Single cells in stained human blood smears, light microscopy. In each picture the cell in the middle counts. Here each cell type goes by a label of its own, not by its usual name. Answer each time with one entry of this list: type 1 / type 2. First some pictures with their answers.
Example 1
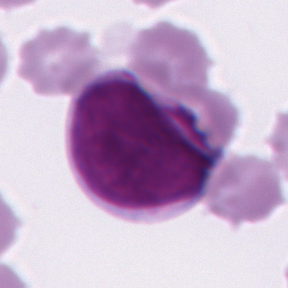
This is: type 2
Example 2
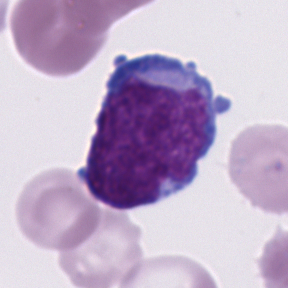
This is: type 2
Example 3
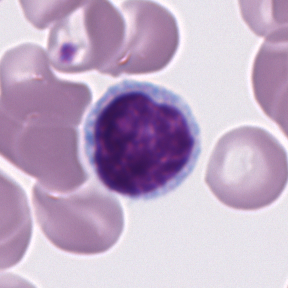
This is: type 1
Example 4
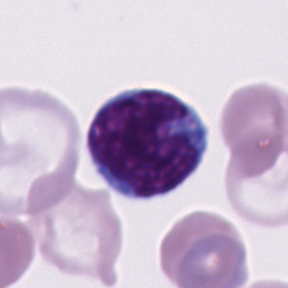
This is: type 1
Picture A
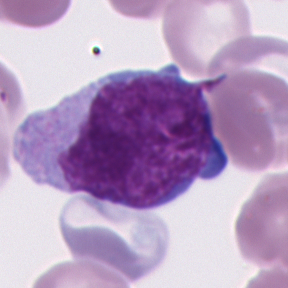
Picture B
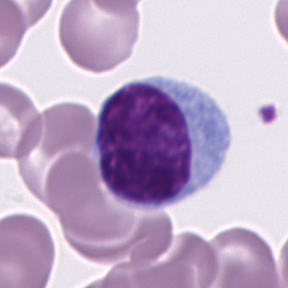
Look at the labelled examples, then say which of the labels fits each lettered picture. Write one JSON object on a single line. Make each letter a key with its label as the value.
{"A": "type 2", "B": "type 1"}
